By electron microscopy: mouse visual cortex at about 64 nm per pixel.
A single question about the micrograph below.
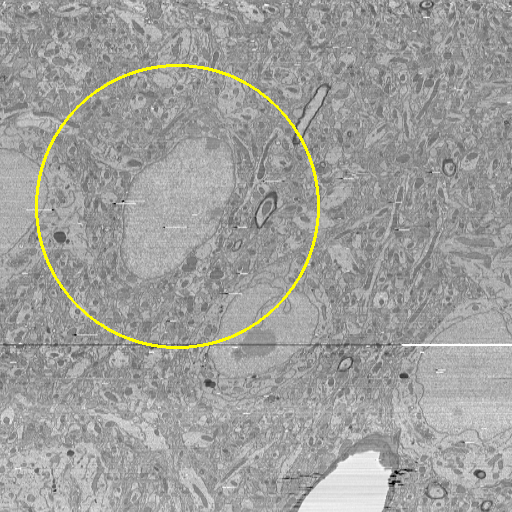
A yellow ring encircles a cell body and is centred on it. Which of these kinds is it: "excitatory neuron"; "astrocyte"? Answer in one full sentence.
The cell body at the centre of the yellow ring belongs to an astrocyte.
